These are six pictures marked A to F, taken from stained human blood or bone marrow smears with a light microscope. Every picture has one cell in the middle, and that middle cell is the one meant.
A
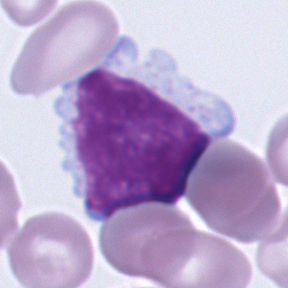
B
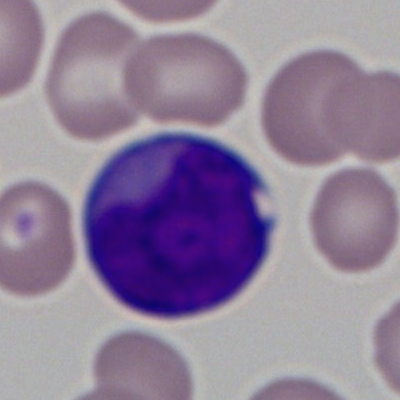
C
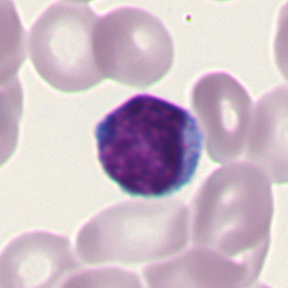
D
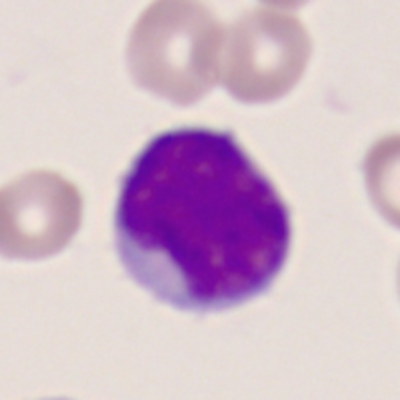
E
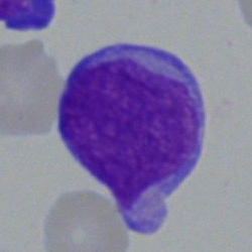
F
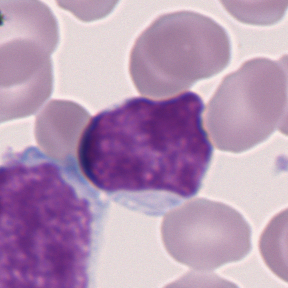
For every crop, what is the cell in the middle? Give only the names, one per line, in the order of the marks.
lymphocyte
blast
lymphocyte
blast
blast
lymphocyte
